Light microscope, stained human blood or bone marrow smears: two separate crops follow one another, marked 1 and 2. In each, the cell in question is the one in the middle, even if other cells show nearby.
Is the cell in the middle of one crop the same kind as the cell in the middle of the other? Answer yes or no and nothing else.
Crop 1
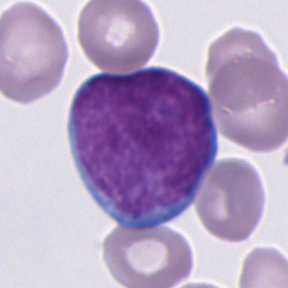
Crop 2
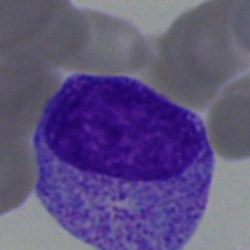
no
